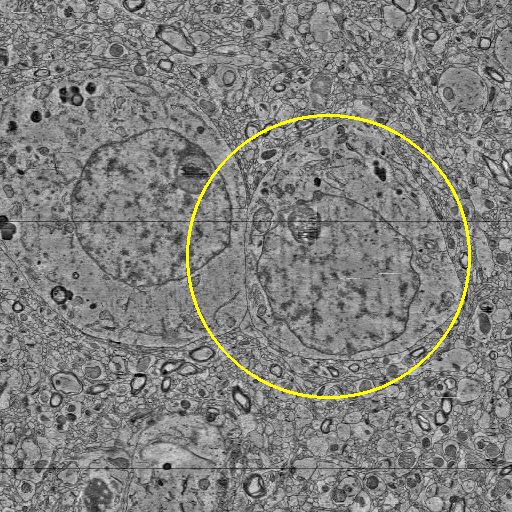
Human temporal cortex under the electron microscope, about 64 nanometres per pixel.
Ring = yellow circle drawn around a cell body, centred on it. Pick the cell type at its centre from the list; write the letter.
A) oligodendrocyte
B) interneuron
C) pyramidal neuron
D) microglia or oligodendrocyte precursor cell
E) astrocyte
C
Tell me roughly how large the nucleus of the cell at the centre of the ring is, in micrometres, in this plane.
About 10 micrometres across in this plane.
